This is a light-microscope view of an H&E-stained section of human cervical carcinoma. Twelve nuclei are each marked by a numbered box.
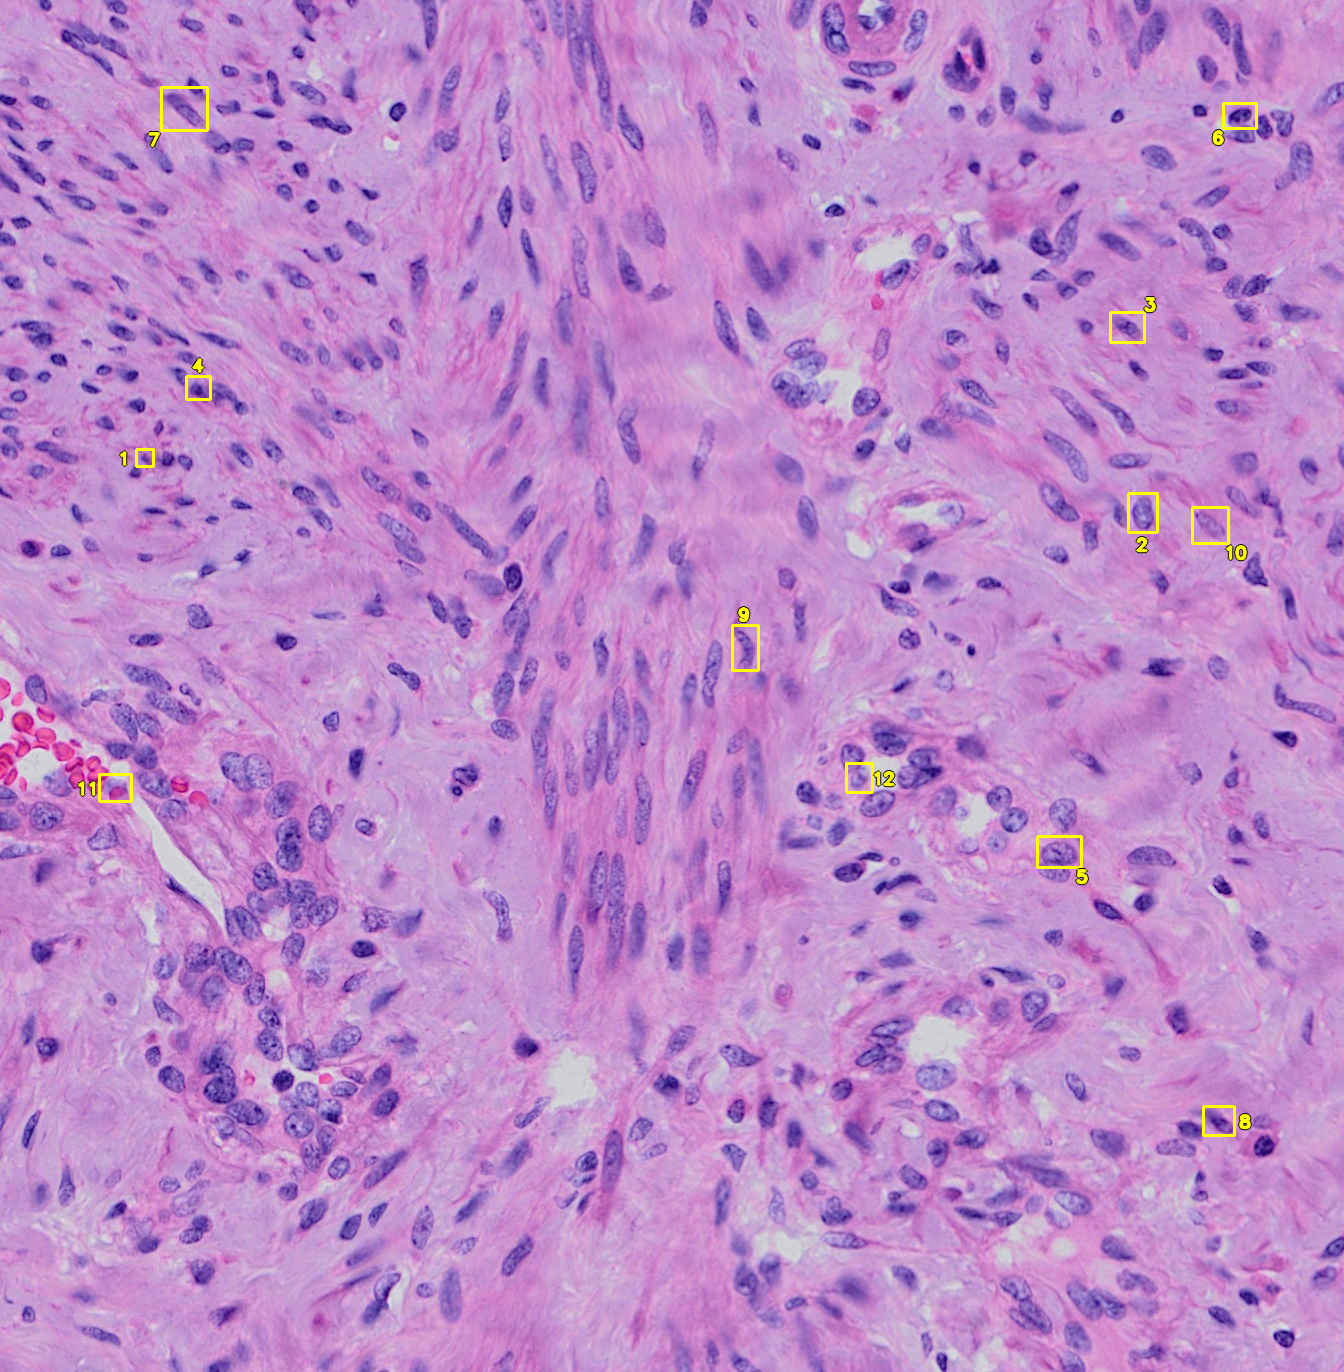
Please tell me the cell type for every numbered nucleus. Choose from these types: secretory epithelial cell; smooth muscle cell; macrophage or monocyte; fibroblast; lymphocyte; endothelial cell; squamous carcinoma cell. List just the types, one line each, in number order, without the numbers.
smooth muscle cell
smooth muscle cell
smooth muscle cell
smooth muscle cell
endothelial cell
lymphocyte
smooth muscle cell
fibroblast
smooth muscle cell
smooth muscle cell
endothelial cell
endothelial cell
